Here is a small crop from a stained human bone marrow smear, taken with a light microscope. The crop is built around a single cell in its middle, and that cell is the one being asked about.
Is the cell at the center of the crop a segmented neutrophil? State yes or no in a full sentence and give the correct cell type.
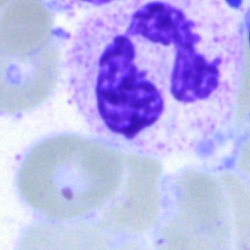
Yes, the cell in the centre is a segmented neutrophil.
